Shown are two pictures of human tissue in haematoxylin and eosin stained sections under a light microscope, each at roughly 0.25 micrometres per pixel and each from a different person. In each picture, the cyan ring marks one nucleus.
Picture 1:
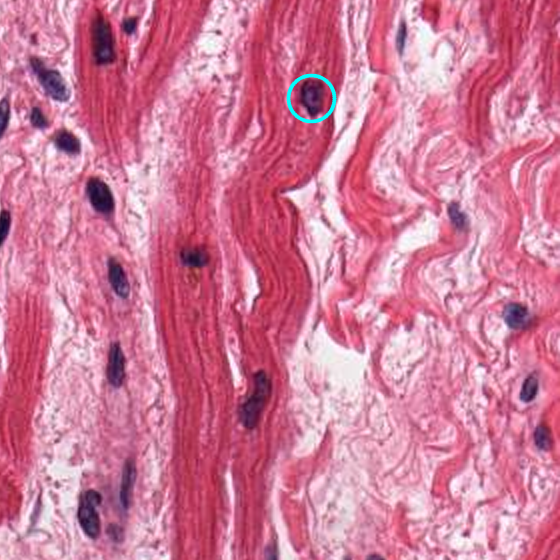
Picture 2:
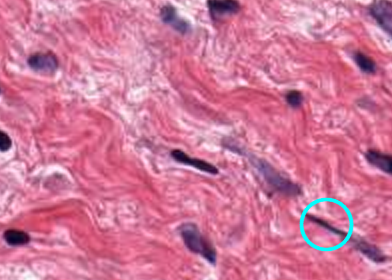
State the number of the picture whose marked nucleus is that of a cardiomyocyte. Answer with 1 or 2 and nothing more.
1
